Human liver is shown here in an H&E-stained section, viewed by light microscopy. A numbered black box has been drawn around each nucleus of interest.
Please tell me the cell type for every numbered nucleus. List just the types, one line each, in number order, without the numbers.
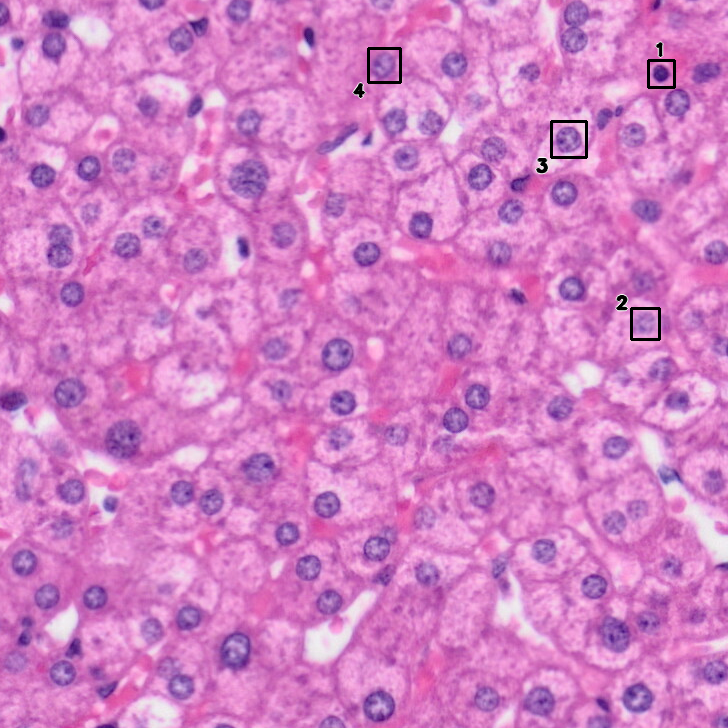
lymphocyte
hepatocyte
hepatocyte
hepatocyte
